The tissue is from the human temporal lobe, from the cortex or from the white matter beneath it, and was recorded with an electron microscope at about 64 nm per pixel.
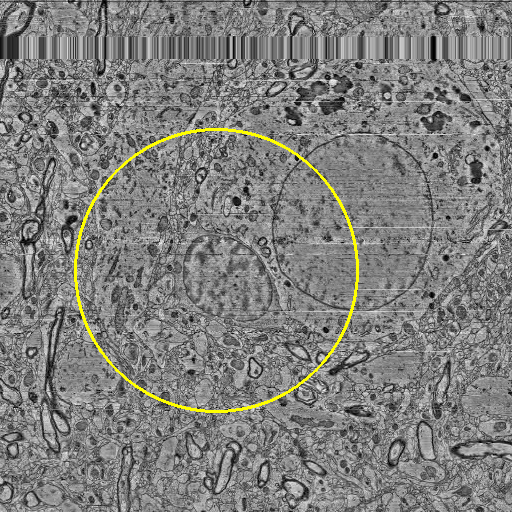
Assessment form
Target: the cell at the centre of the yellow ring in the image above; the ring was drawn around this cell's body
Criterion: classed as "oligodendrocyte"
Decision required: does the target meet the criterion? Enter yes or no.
yes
